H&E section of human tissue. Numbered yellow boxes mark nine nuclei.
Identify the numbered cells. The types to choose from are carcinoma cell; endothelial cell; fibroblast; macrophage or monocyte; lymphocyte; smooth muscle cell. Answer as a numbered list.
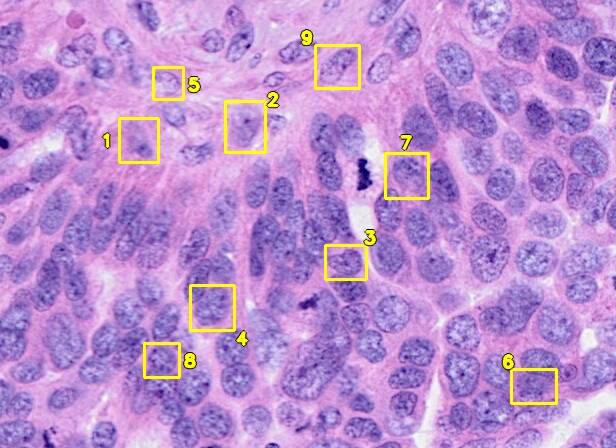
1. fibroblast
2. fibroblast
3. carcinoma cell
4. carcinoma cell
5. fibroblast
6. carcinoma cell
7. carcinoma cell
8. carcinoma cell
9. fibroblast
